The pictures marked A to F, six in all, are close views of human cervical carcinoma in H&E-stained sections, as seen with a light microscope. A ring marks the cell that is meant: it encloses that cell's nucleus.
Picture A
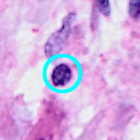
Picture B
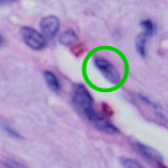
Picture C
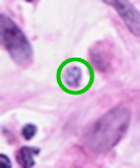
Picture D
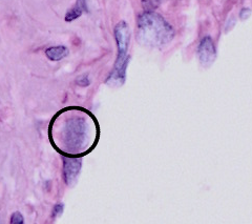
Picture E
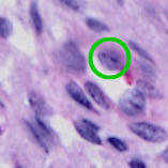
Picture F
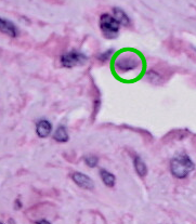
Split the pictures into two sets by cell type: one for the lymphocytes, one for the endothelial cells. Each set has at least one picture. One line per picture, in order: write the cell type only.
lymphocyte
endothelial cell
lymphocyte
endothelial cell
endothelial cell
endothelial cell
